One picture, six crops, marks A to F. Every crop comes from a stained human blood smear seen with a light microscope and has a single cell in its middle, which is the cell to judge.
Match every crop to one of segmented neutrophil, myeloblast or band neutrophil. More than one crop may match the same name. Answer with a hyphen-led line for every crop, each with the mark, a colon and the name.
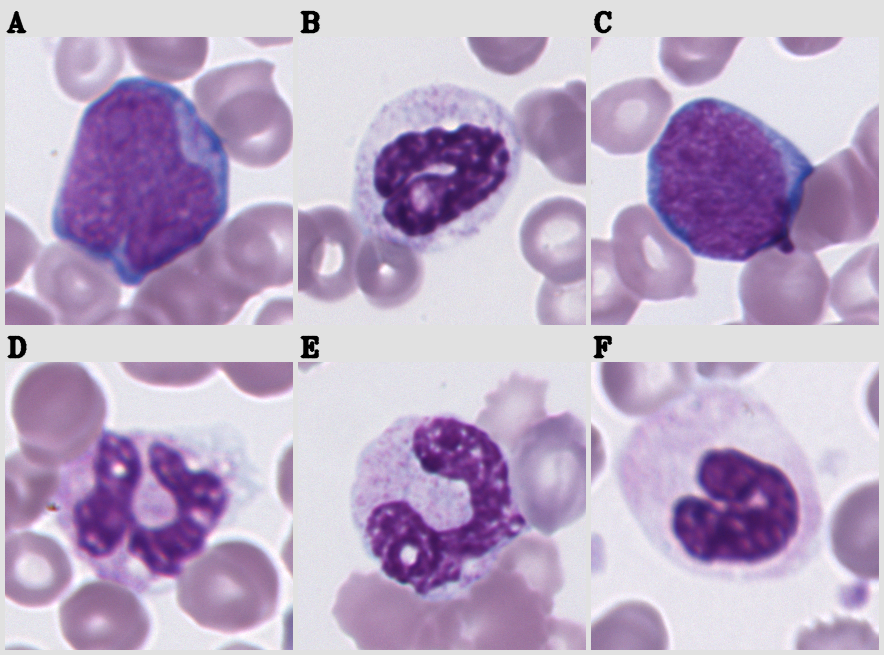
- A: myeloblast
- B: band neutrophil
- C: myeloblast
- D: segmented neutrophil
- E: segmented neutrophil
- F: segmented neutrophil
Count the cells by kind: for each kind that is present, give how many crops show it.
segmented neutrophil: 3
myeloblast: 2
band neutrophil: 1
